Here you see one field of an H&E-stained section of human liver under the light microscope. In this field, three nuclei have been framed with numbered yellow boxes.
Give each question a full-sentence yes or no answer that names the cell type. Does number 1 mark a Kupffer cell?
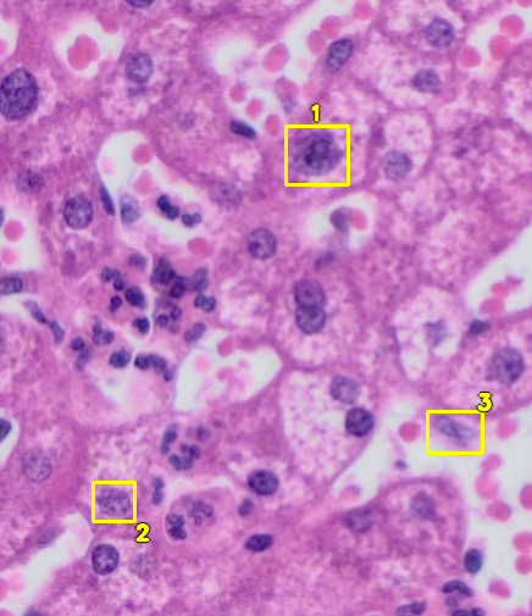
No, the cell at number 1 is a hepatocyte instead of a Kupffer cell.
